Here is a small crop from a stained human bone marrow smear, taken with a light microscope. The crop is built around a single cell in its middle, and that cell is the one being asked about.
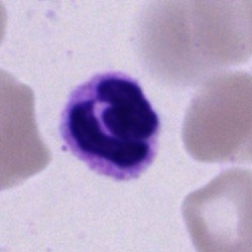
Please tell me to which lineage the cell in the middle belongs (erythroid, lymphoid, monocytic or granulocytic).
granulocytic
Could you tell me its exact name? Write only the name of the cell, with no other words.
segmented neutrophil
